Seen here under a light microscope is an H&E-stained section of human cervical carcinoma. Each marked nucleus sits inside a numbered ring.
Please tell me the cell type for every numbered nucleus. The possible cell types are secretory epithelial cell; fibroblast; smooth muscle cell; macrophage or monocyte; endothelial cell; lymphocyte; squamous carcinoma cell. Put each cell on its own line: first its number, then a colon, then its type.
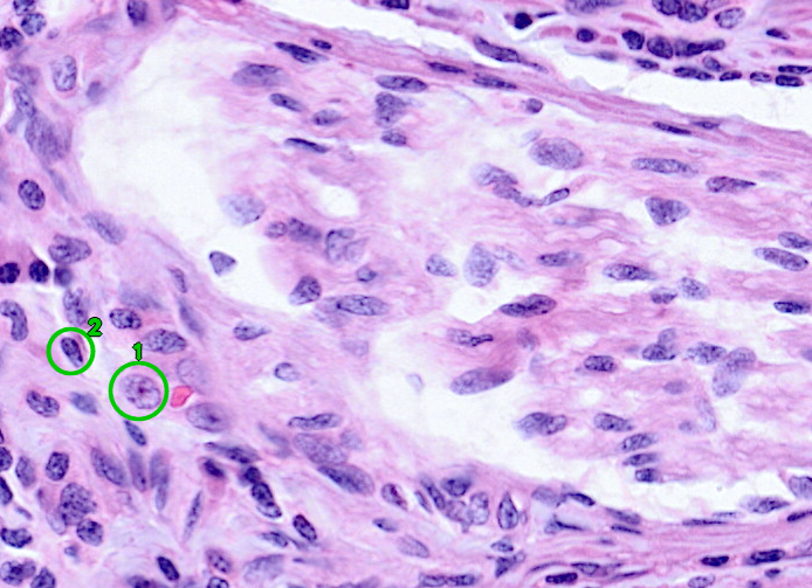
1: endothelial cell
2: lymphocyte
